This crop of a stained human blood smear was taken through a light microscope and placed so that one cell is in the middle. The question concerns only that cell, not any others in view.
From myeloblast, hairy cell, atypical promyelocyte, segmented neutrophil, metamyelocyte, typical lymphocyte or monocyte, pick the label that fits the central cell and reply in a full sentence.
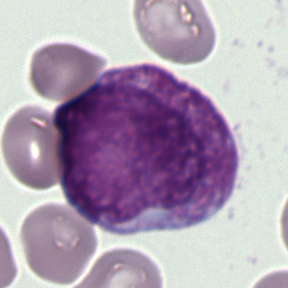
Framed in the middle of the crop is an atypical promyelocyte.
